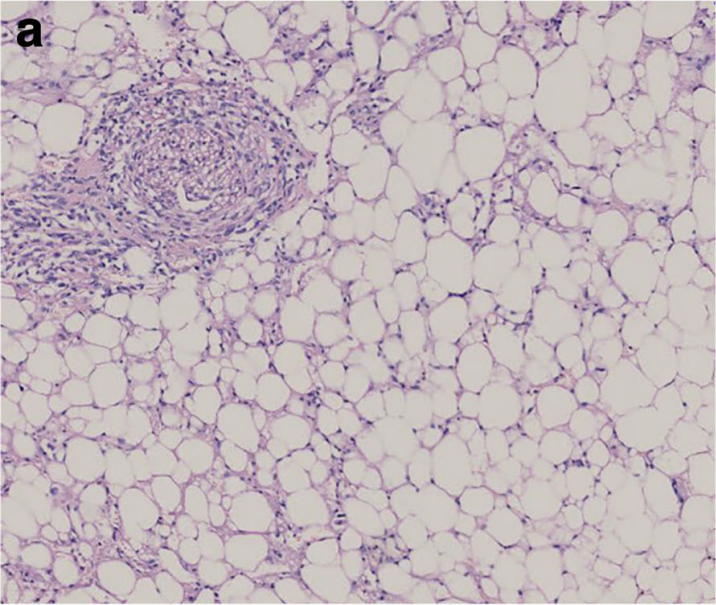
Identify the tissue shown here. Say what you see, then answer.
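Fatty tissue. Most of the field is made of large, empty, rounded vacuoles of varying size.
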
